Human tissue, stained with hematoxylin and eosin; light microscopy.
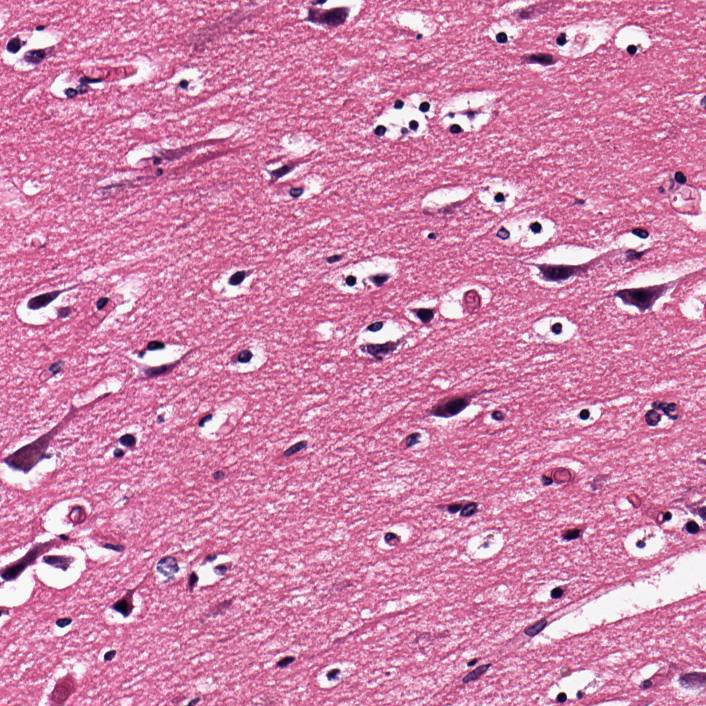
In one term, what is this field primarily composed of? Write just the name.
cerebral cortex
